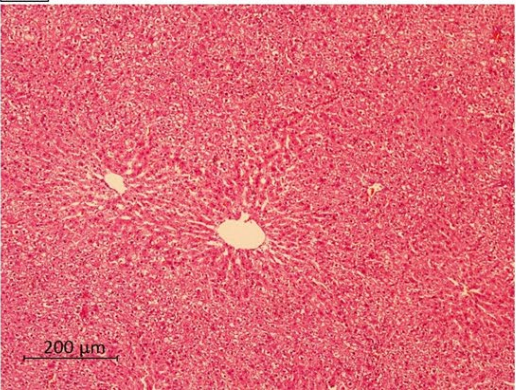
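This is liver parenchyma made up of hepatocytes arranged in cords that radiate from a central vein. The central vein appears as a round, empty lumen near the middle of the field, with a smaller vessel profile to one side. Hepatocyte plates, pink in cytoplasm with small dark nuclei, run outward from the vein and are separated by narrow, pale sinusoidal spaces. The pattern is regular and uniform across the field, with no obvious clusters of inflammatory cells, areas of cell loss or haemorrhage. The overall architecture appears orderly.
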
